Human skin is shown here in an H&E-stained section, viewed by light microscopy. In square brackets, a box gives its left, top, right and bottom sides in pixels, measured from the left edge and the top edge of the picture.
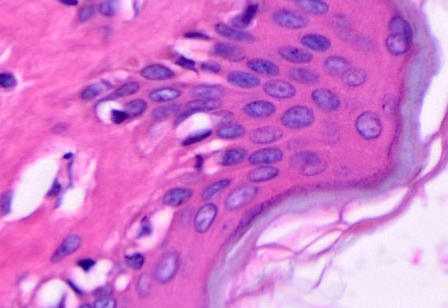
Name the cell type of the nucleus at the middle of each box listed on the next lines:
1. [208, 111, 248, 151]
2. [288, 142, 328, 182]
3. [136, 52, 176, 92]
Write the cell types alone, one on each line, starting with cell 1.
basal keratinocyte
suprabasal keratinocyte
basal keratinocyte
